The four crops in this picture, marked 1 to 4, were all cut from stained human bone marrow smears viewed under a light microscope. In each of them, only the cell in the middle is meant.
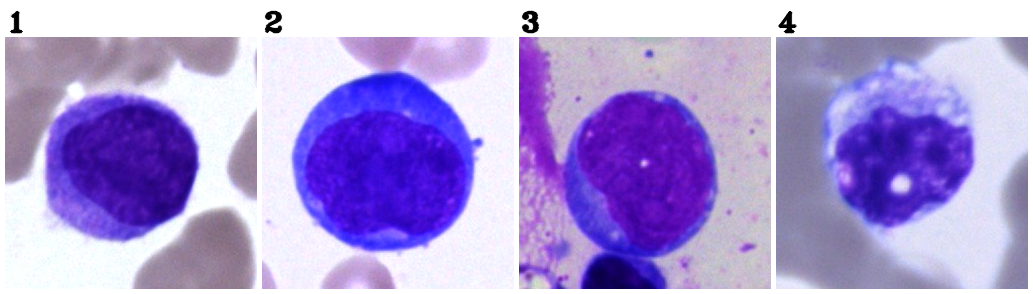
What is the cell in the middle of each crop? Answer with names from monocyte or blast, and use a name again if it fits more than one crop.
1: blast
2: blast
3: blast
4: monocyte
